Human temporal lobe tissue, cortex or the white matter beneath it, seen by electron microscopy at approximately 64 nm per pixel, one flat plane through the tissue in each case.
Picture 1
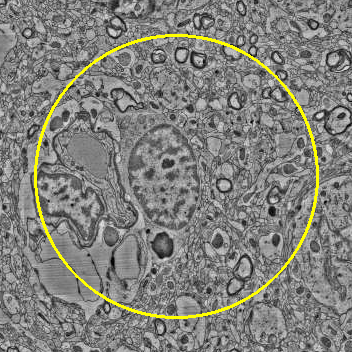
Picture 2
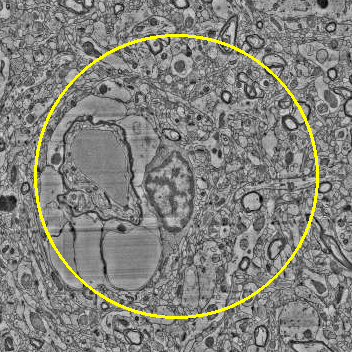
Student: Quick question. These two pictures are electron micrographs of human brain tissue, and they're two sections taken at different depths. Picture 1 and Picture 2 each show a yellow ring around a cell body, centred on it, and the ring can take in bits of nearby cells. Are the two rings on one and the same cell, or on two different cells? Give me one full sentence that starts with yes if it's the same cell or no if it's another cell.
Yes, one and the same cell lies under both rings.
